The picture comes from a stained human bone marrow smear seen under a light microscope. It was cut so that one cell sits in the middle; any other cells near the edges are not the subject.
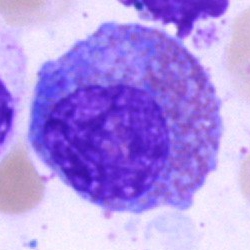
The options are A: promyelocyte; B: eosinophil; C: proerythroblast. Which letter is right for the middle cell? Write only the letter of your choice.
B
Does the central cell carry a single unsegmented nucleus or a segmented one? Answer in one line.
Key feature: a single compact nucleus, round, oval or kidney-shaped.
